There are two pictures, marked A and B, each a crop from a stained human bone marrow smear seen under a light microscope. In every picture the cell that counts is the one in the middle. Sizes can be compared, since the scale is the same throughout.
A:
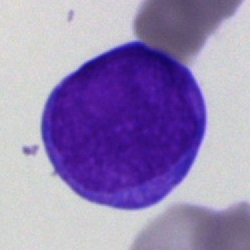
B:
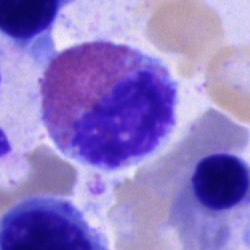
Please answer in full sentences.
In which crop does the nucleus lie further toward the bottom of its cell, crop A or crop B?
The nucleus in crop B lies further toward the bottom of its cell.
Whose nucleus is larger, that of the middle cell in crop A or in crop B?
Crop A shows the larger nucleus; it covers about 2.5 times the area of the nucleus in crop B.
